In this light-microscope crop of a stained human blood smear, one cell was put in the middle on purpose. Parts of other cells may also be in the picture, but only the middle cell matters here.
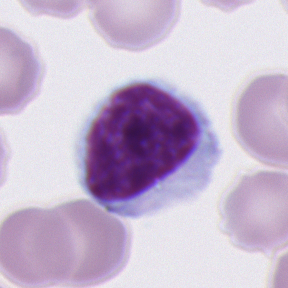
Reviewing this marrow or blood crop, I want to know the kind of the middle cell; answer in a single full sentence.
The cell in the middle of this crop is a typical lymphocyte.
